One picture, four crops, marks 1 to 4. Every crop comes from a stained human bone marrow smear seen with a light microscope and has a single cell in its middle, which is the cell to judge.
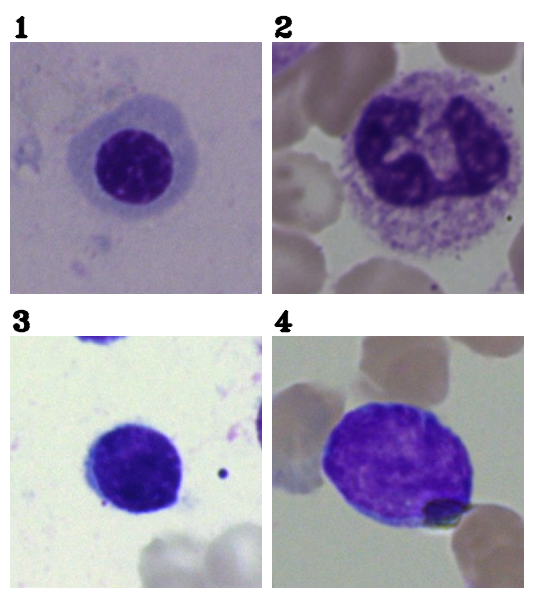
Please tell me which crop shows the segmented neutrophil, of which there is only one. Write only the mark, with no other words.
2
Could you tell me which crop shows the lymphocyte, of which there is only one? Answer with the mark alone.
3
